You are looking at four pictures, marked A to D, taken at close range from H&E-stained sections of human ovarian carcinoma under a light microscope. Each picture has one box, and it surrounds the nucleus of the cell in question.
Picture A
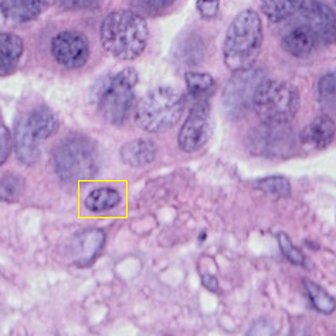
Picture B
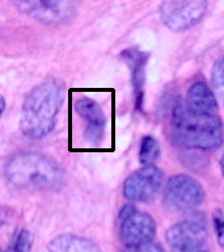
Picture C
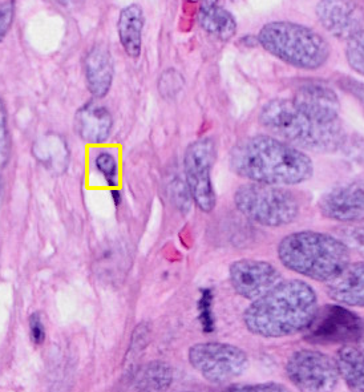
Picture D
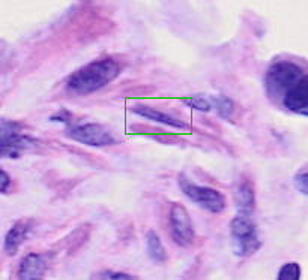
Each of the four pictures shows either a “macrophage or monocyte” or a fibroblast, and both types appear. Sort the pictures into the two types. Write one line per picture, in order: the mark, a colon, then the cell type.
A: macrophage or monocyte
B: macrophage or monocyte
C: macrophage or monocyte
D: fibroblast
